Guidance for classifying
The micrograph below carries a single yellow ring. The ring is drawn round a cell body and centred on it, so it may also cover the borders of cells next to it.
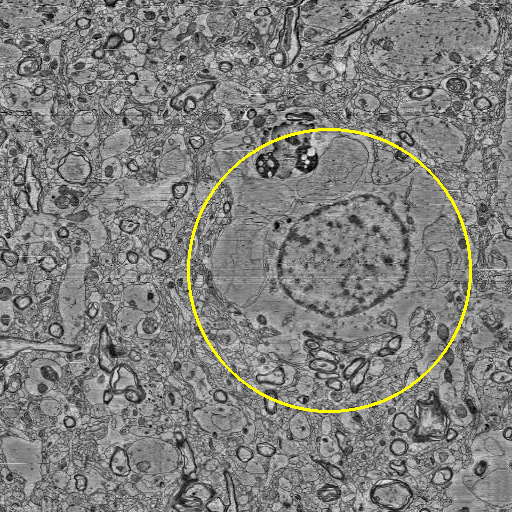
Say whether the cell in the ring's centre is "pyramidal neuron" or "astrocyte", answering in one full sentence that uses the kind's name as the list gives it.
Within the yellow ring, an astrocyte is the cell whose body sits at the centre.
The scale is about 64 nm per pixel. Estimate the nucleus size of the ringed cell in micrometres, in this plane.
The nucleus measures about 9 by 7 micrometres in this plane.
